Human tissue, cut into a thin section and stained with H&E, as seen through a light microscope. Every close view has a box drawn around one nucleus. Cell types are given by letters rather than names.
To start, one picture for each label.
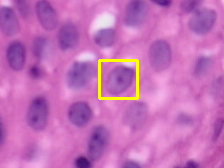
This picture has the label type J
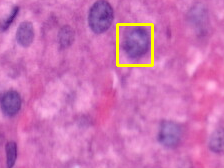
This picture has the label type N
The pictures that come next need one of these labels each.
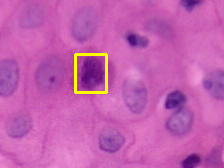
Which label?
type J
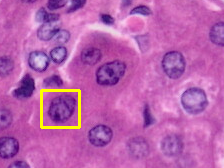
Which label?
type N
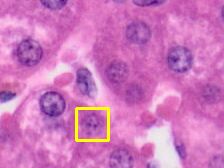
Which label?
type N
